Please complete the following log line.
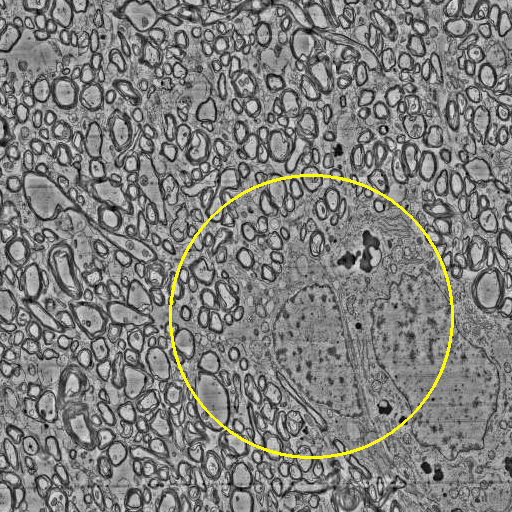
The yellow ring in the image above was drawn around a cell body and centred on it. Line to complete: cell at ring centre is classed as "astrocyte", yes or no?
yes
